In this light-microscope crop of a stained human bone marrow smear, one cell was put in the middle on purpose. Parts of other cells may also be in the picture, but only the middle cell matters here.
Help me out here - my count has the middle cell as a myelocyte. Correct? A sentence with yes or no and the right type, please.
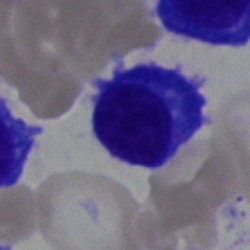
No, the cell in the centre of the crop is a plasma cell as opposed to a myelocyte.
